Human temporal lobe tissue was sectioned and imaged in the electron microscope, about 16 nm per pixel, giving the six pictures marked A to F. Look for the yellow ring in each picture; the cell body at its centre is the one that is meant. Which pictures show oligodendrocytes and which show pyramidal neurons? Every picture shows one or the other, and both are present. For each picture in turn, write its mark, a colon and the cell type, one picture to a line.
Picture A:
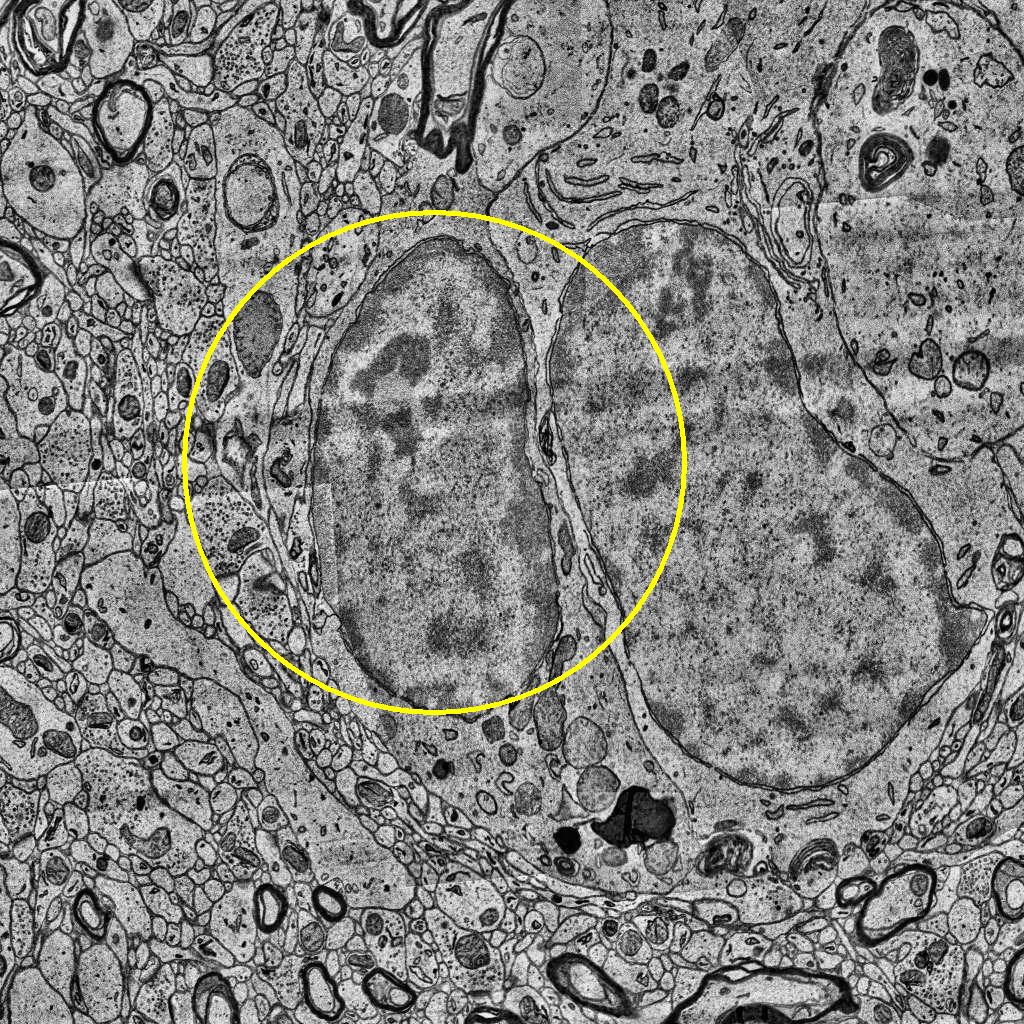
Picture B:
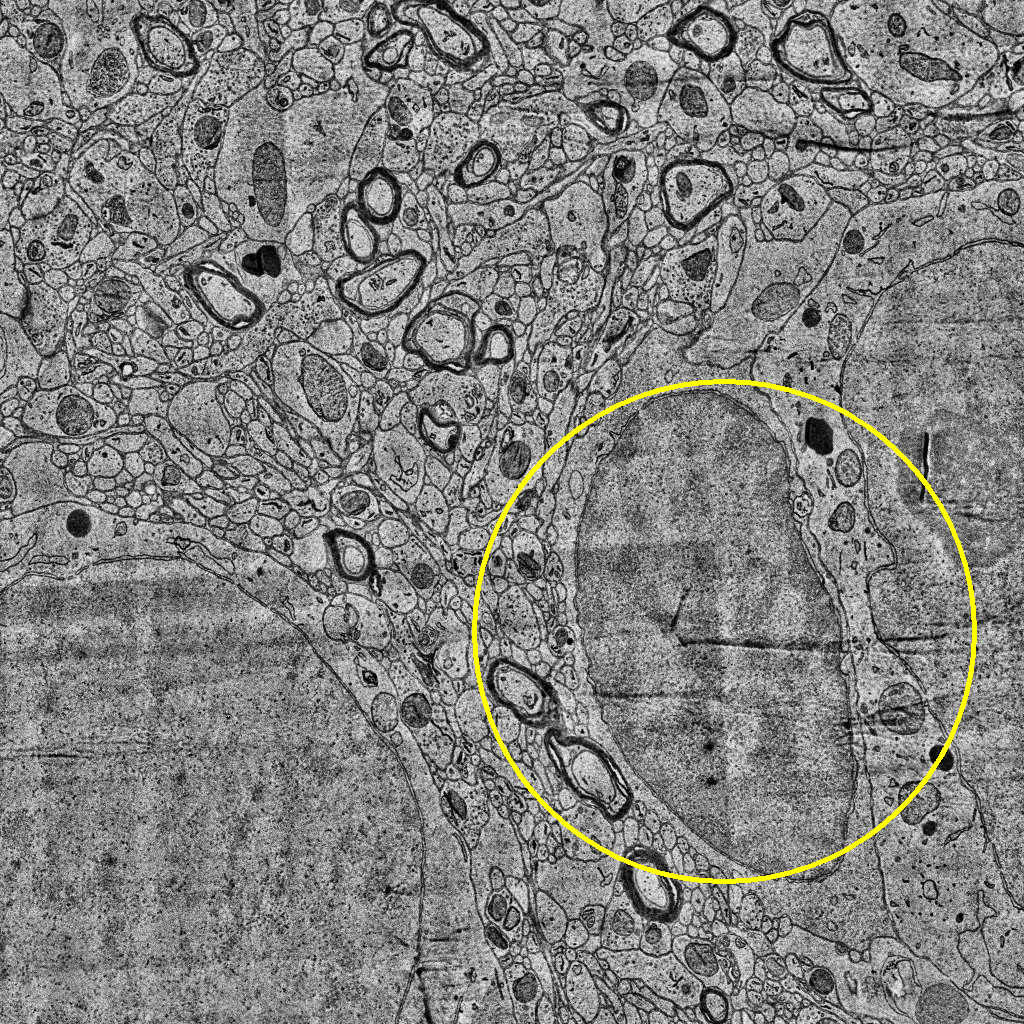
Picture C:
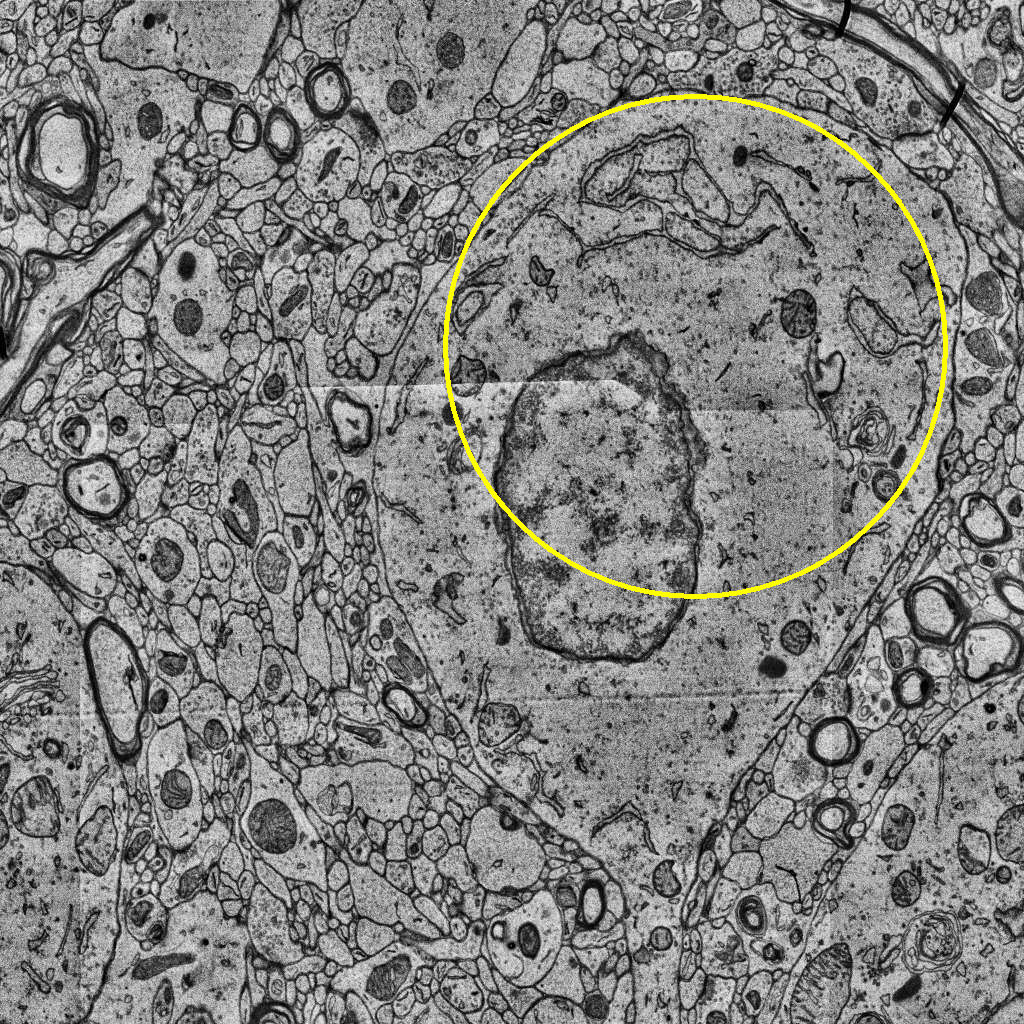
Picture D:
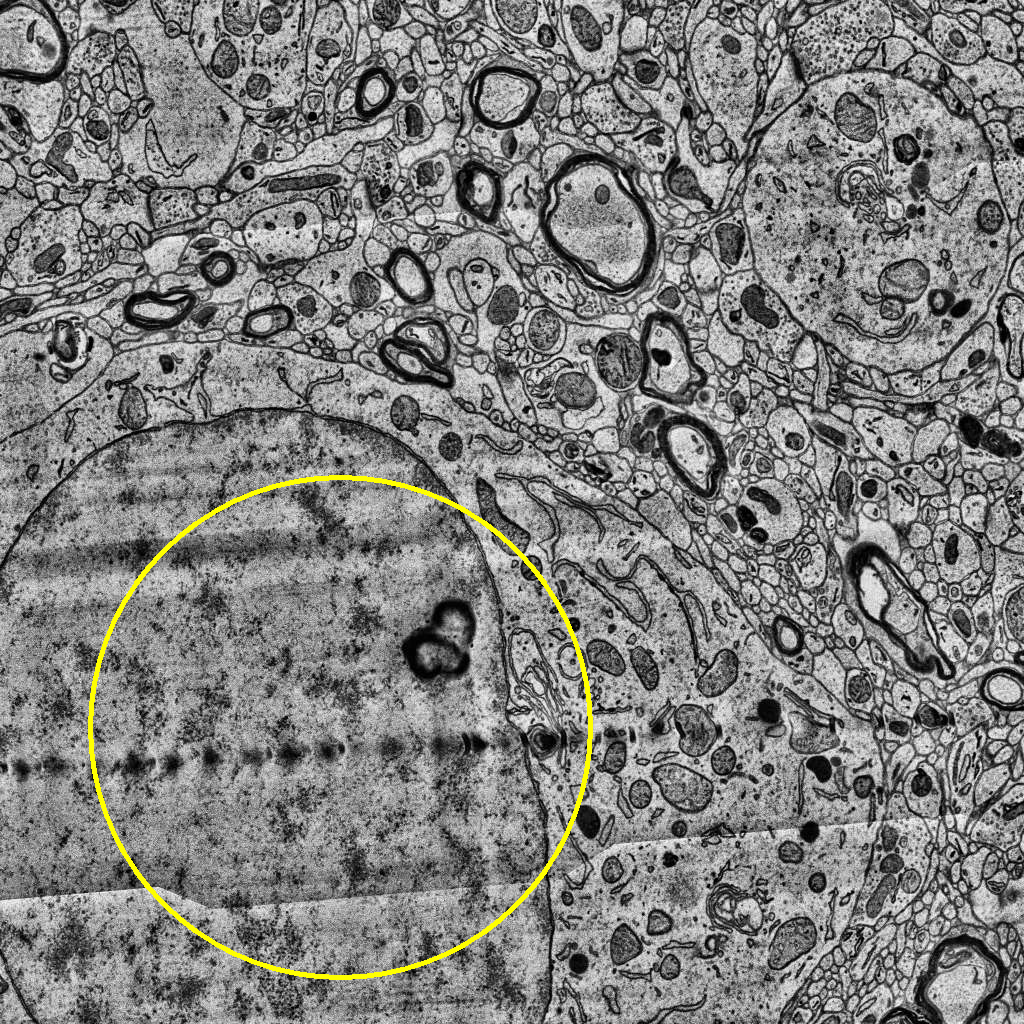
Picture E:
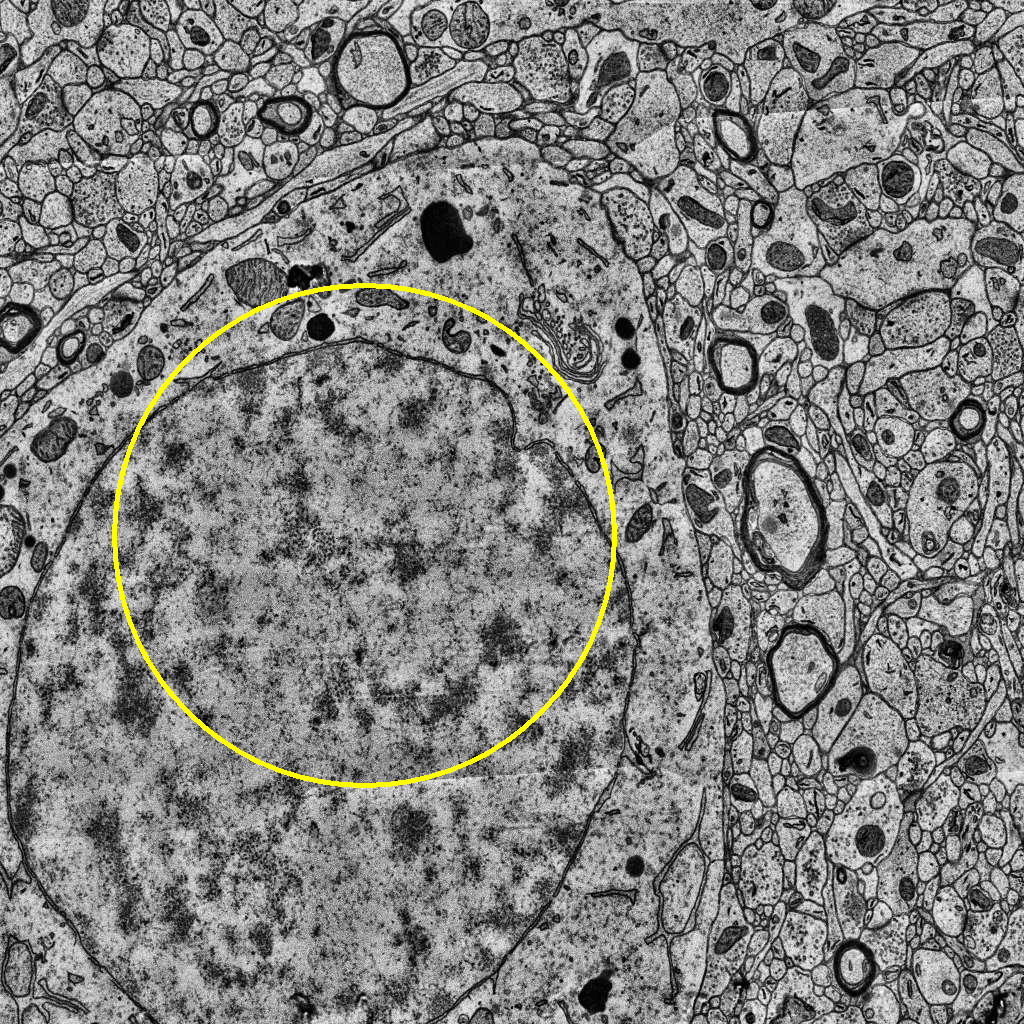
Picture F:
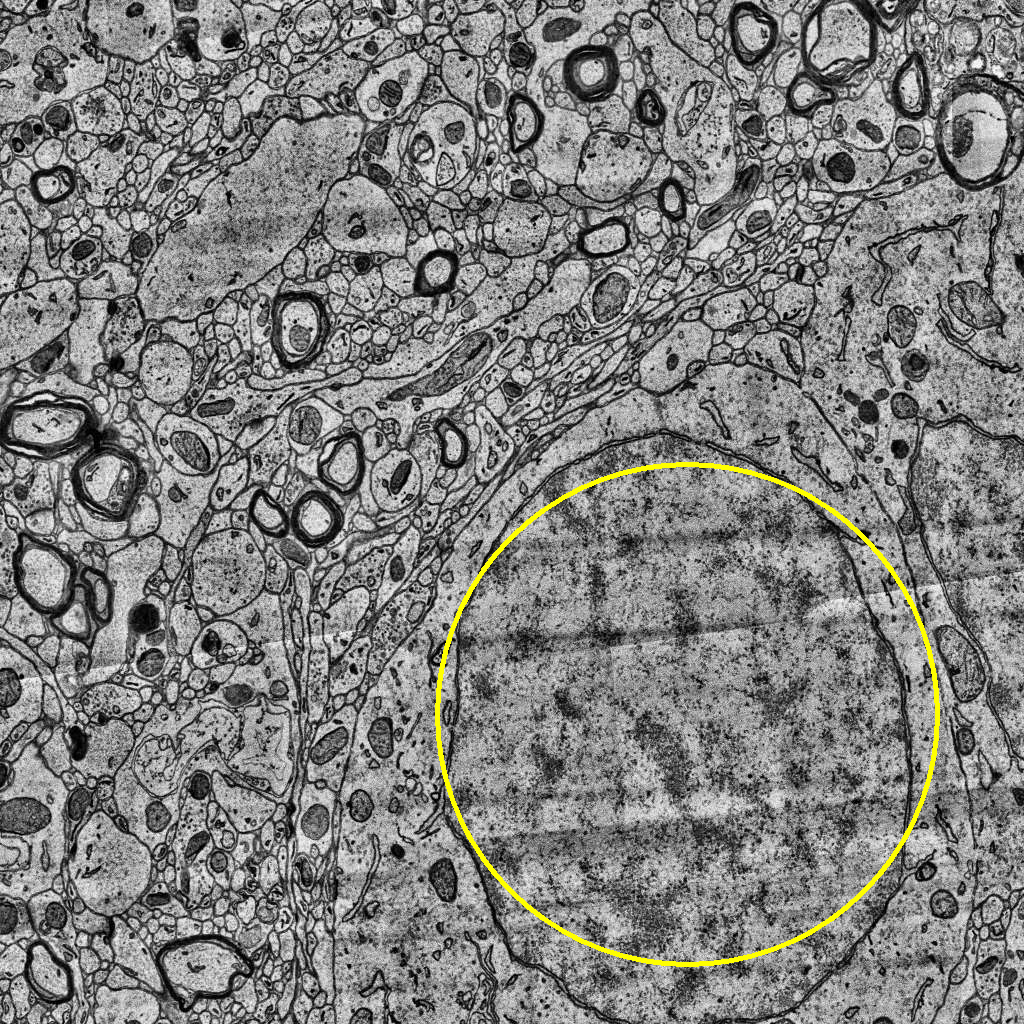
A: oligodendrocyte
B: oligodendrocyte
C: pyramidal neuron
D: pyramidal neuron
E: pyramidal neuron
F: pyramidal neuron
